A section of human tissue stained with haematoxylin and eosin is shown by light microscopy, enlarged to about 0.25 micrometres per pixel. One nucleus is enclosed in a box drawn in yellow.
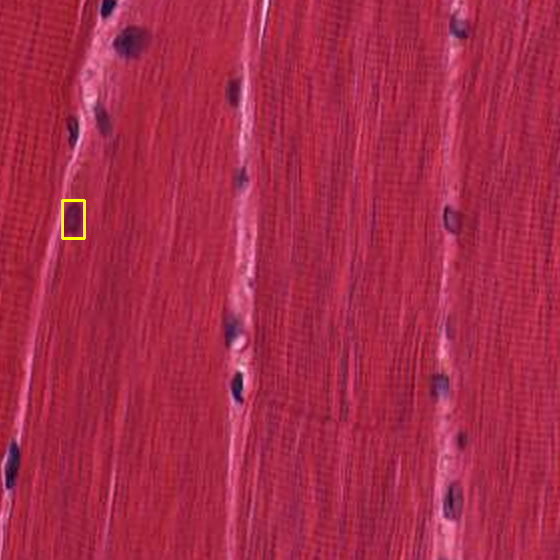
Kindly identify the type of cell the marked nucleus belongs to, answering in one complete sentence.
A nucleus belonging to a skeletal muscle fibre is the one marked.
